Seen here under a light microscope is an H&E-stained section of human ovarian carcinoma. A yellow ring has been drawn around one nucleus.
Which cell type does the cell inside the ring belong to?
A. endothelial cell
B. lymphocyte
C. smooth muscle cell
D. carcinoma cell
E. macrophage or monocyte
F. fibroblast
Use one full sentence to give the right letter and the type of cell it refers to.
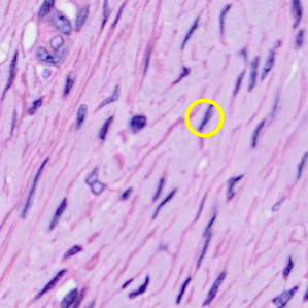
The correct choice is option F; the cell inside the ring is a fibroblast.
